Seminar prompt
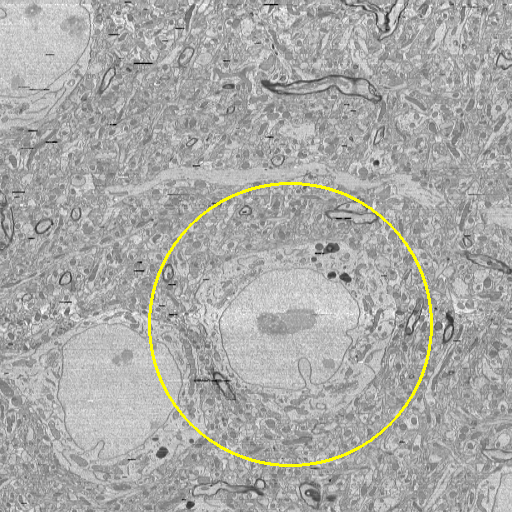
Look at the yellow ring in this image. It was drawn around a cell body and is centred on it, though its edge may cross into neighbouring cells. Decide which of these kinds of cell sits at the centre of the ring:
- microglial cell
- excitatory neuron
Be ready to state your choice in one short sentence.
The kind of cell at the ring's centre is an excitatory neuron.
